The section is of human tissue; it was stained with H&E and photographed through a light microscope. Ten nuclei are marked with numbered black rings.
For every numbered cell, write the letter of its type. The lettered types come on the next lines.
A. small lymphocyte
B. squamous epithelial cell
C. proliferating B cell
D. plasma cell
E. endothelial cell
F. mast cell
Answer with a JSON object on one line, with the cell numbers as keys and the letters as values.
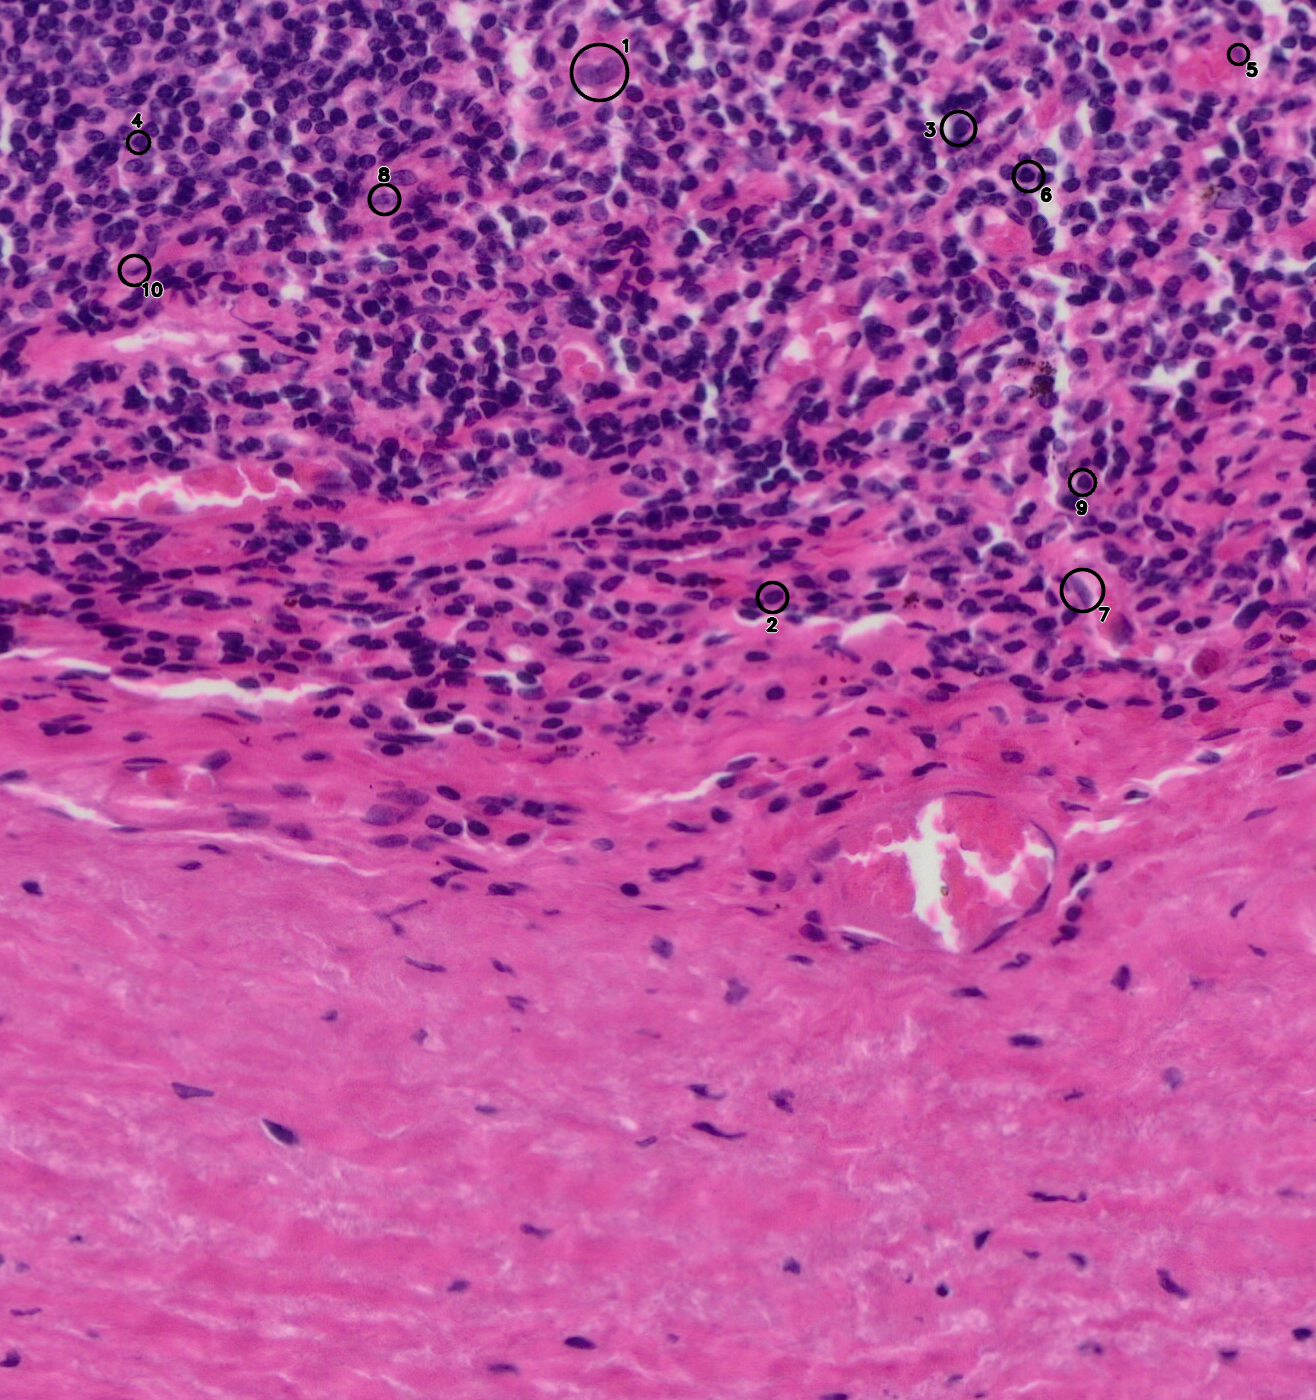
{"1": "E", "2": "D", "3": "A", "4": "A", "5": "E", "6": "A", "7": "E", "8": "E", "9": "D", "10": "E"}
